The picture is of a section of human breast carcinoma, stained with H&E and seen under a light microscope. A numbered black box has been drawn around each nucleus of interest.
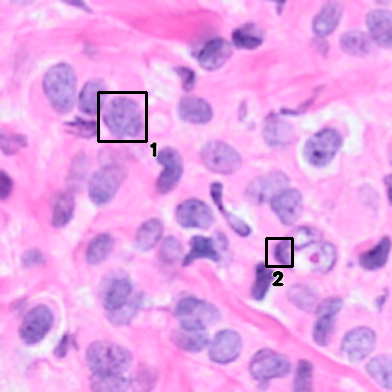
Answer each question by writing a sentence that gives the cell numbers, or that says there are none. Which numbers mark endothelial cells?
Just the cell marked 2 is an endothelial cell; none of the other marked cells is.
